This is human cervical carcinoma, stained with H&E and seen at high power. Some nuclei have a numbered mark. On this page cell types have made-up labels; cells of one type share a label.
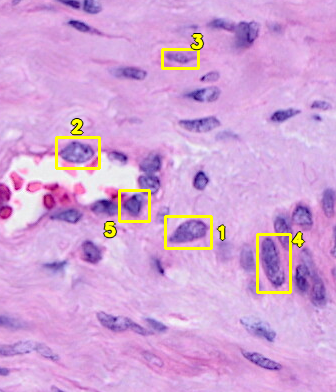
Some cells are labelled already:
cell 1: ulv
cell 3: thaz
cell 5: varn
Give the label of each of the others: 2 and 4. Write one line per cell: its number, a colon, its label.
2: varn
4: thaz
